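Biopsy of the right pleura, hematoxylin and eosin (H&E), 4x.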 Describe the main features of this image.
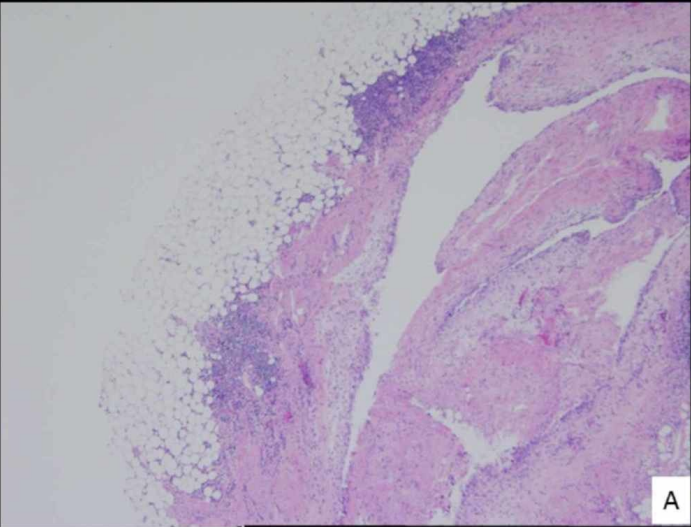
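The aggregates sit at the junction of the fibrous tissue and the fat. Clefts of open space run through the fibrous tissue. The fat appears as a honeycomb of empty round vacuoles.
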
